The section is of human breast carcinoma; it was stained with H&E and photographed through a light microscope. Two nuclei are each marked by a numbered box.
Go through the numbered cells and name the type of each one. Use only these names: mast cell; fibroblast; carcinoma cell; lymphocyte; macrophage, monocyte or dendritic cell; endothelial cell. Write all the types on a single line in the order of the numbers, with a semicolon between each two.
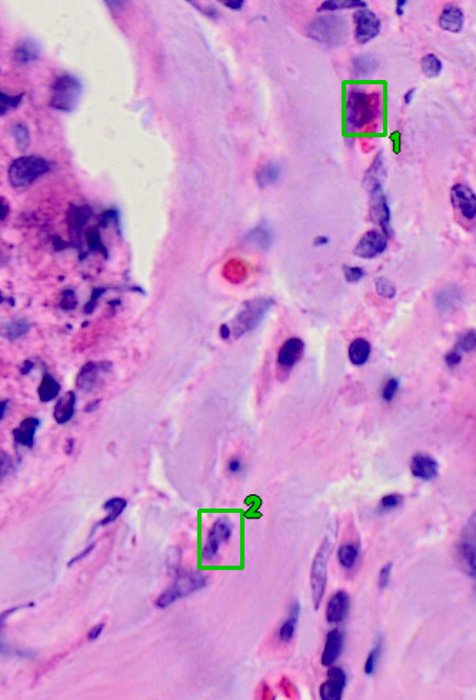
endothelial cell; mast cell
